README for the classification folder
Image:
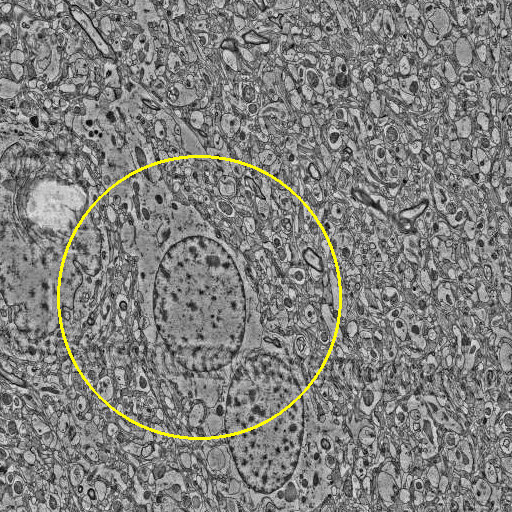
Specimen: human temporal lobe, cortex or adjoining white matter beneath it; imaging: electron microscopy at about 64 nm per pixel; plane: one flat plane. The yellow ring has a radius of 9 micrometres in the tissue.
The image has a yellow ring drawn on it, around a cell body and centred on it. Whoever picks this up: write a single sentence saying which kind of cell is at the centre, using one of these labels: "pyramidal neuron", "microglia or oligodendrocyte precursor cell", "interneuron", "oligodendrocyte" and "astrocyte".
This cell body is that of an astrocyte.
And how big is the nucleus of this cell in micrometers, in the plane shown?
The nucleus of the ringed cell is approximately 9 by 6 micrometres in this plane.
